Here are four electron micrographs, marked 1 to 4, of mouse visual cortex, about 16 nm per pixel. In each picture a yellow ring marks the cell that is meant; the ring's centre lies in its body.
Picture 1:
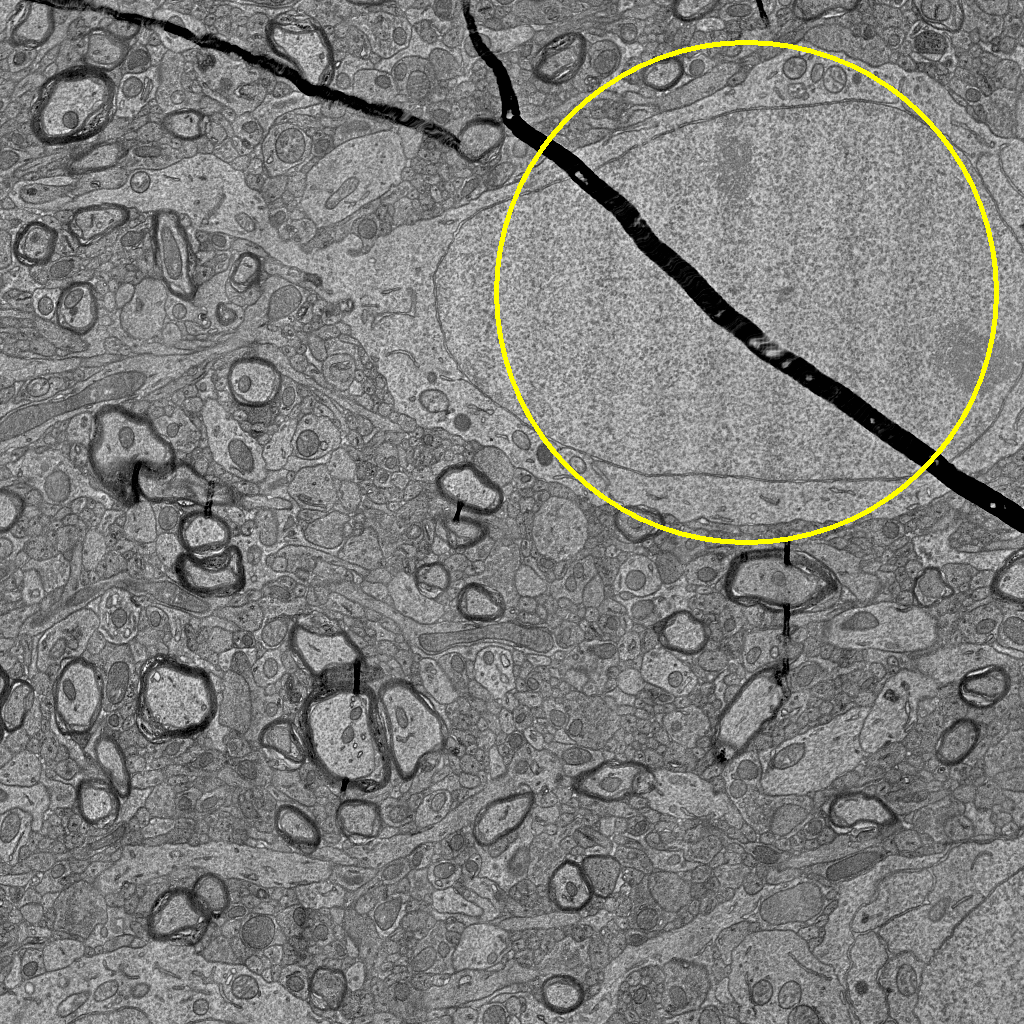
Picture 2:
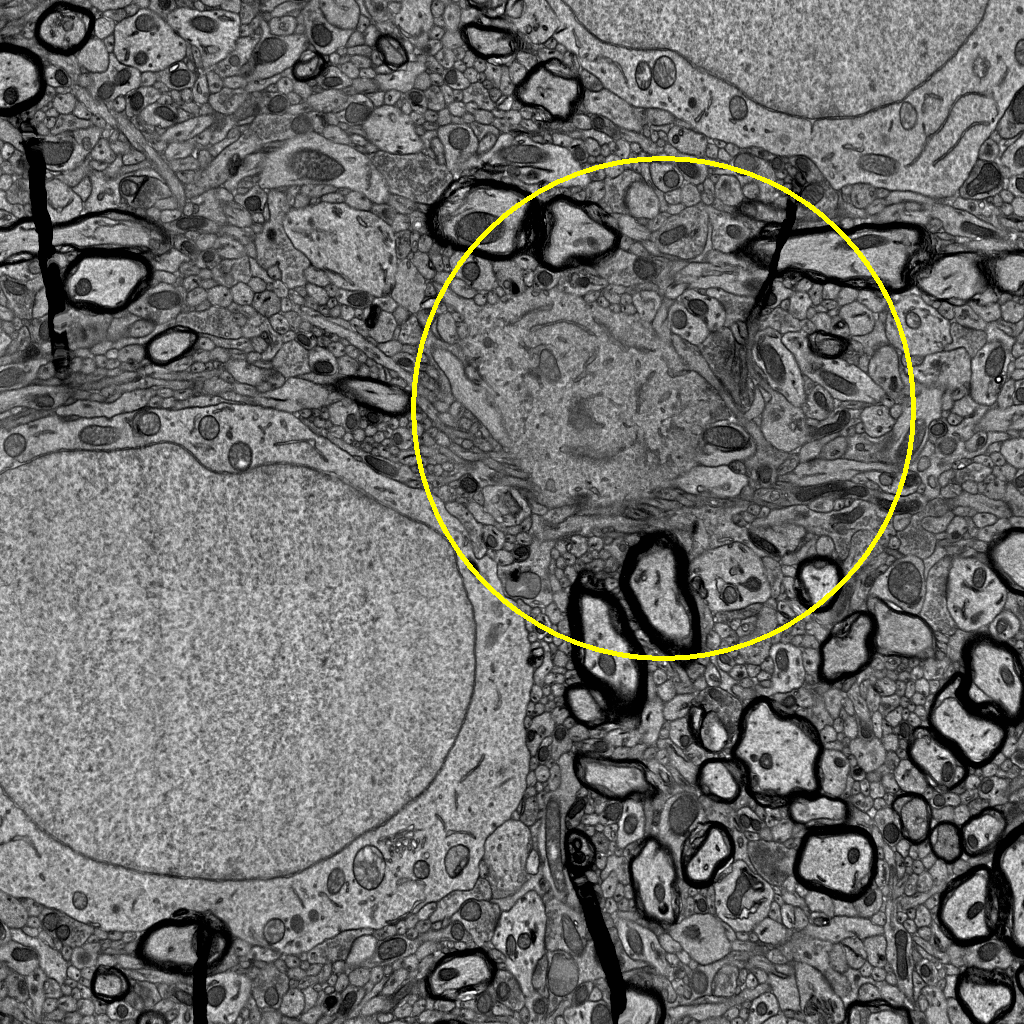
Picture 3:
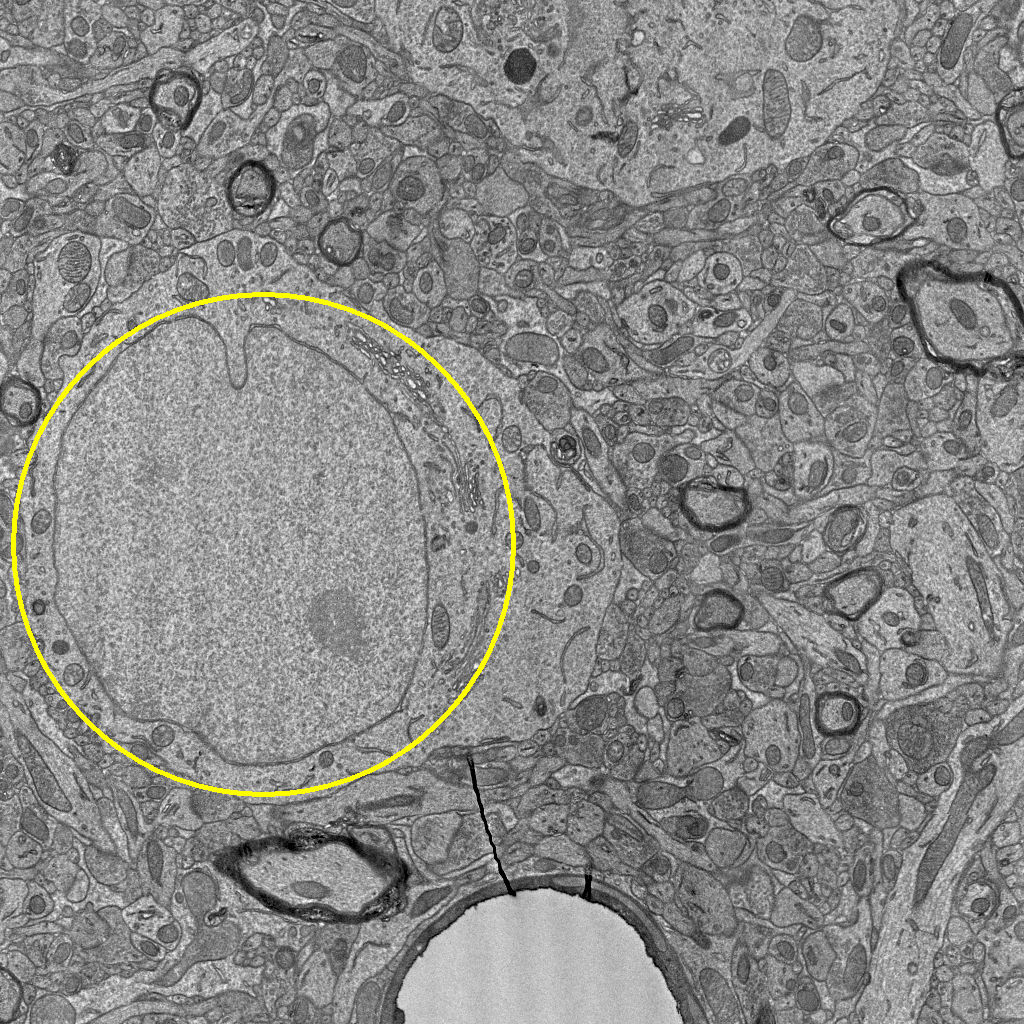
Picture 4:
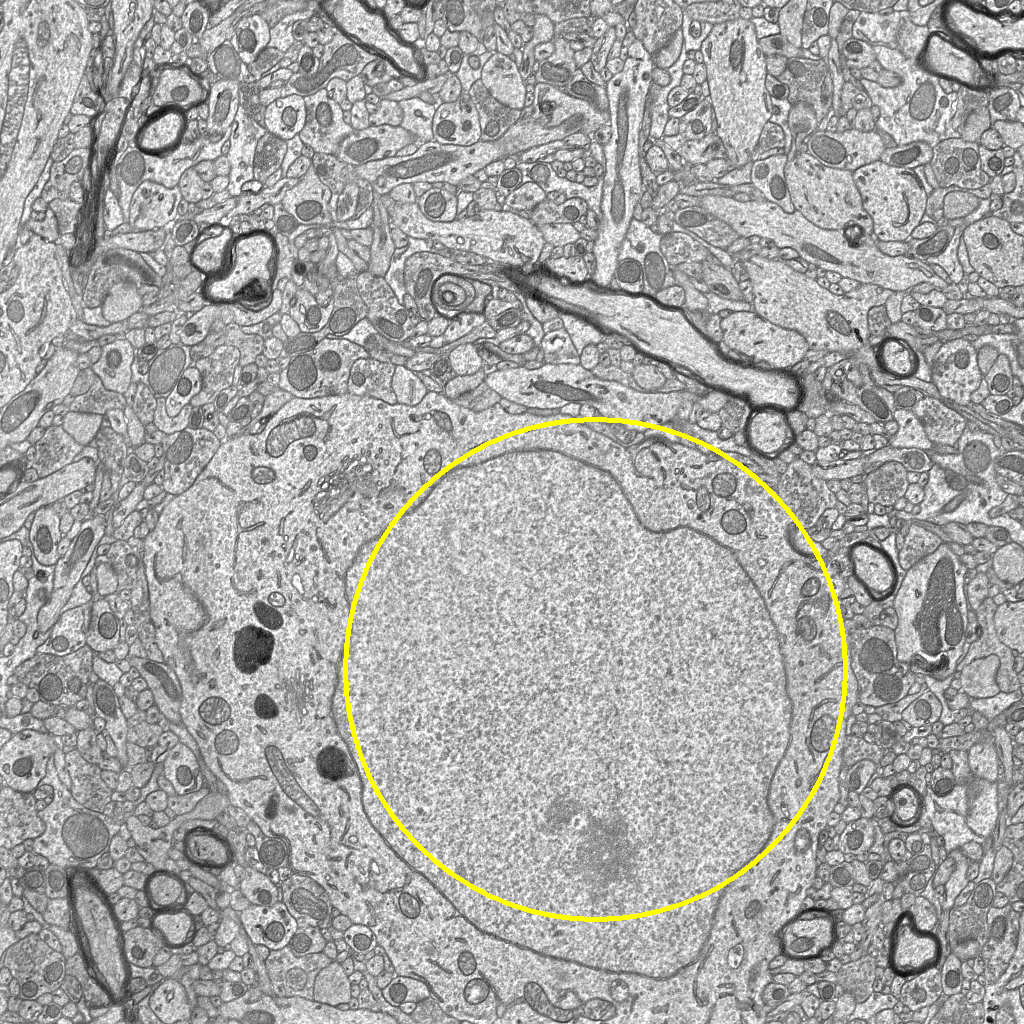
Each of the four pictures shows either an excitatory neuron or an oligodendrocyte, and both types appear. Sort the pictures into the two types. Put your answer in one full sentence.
Pictures 1, 3 and 4 show excitatory neurons; picture 2 shows an oligodendrocyte.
